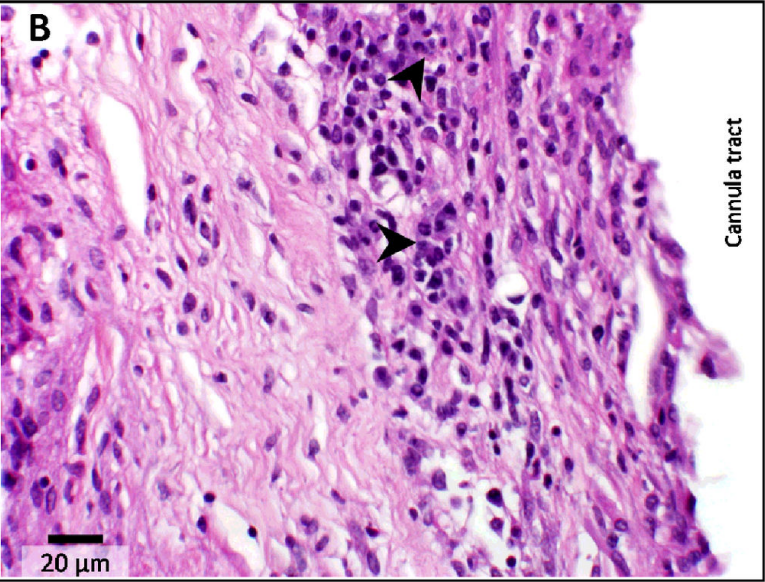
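The tissue is pale pink and loosely fibrillar, with scattered clefts and small empty spaces. Many oval to elongated nuclei lie scattered through the matrix, and along the right edge the nuclei are stretched parallel to the tract's border. In the upper middle there is a dense collection of small round cells. These cells have round, darkly stained purple nuclei and scant cytoplasm, and they sit packed closely together. They are far more crowded than the cells elsewhere, which gives the area a hypercellular, inflamed look.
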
